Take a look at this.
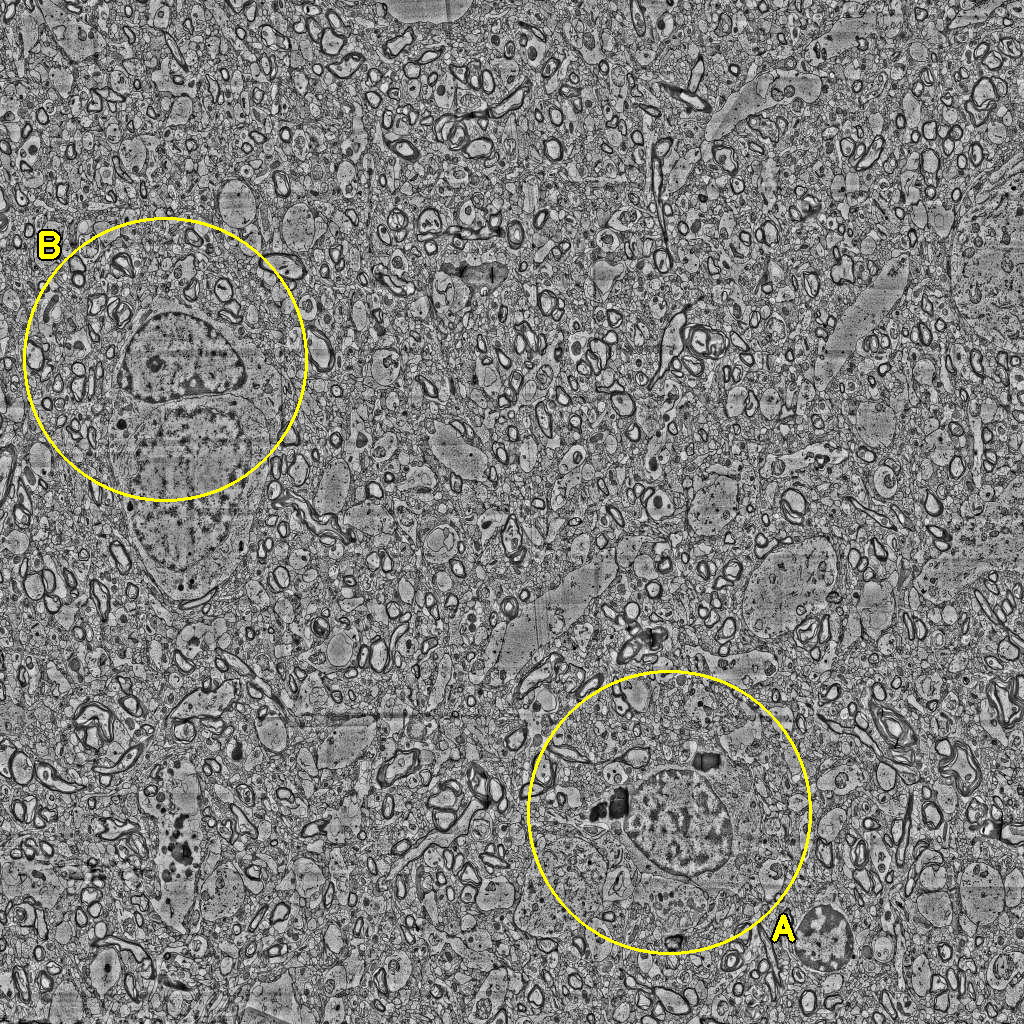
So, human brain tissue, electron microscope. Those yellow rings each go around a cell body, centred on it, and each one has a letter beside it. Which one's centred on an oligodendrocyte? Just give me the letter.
A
